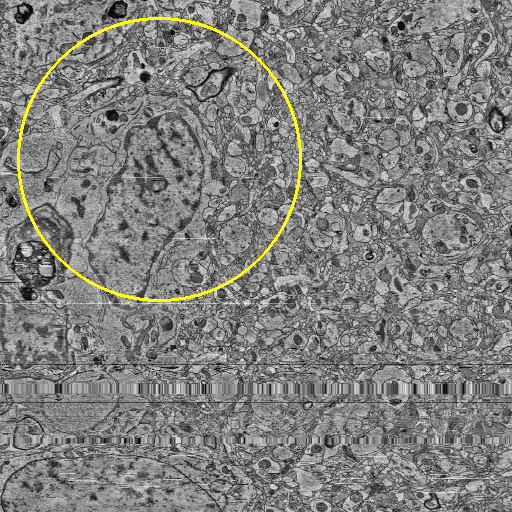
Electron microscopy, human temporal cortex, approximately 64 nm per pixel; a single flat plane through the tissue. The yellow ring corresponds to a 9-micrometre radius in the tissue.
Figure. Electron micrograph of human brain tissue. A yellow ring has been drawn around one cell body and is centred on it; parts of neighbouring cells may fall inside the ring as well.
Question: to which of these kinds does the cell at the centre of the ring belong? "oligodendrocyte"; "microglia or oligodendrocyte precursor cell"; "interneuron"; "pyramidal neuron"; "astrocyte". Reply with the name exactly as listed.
microglia or oligodendrocyte precursor cell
